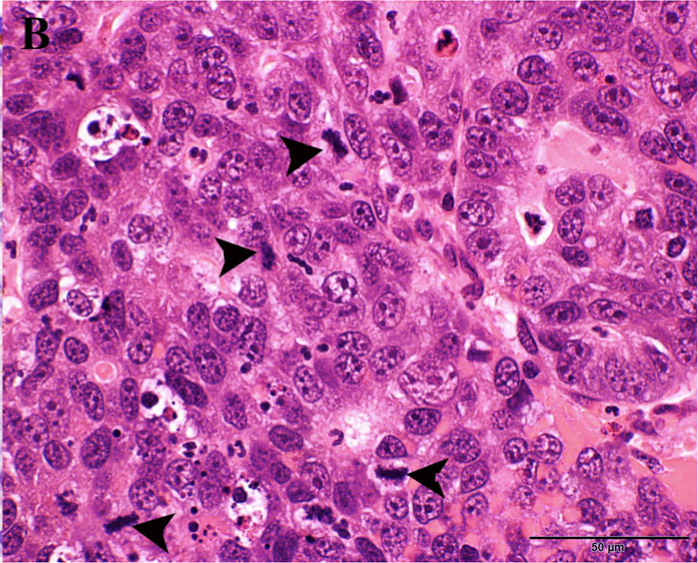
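This section shows a carcinoma made of tumor cells in solid, crowded sheets with pink cytoplasm. The nuclei are large, oval and vesicular, and they vary in size. Their chromatin is coarse and clumped, and many nuclei have visible nucleoli. Several mitotic figures are scattered among them. In these the chromatin is condensed into dark purple bars or clumps, some lined up like metaphase plates. There are also small clear spaces holding dark fragmented nuclear debris. Homogeneous pink material lies between groups of cells on the right side.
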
